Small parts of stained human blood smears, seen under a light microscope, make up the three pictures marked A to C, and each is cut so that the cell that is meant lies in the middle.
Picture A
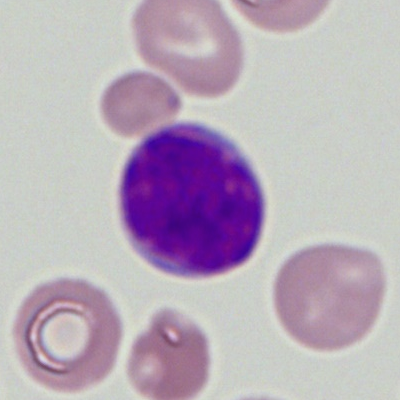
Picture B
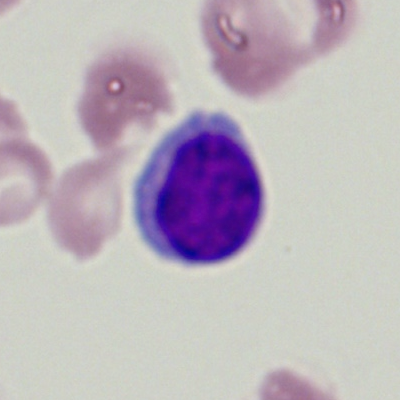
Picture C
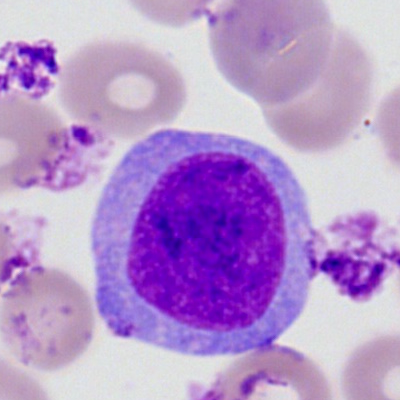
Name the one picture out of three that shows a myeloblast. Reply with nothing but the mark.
C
